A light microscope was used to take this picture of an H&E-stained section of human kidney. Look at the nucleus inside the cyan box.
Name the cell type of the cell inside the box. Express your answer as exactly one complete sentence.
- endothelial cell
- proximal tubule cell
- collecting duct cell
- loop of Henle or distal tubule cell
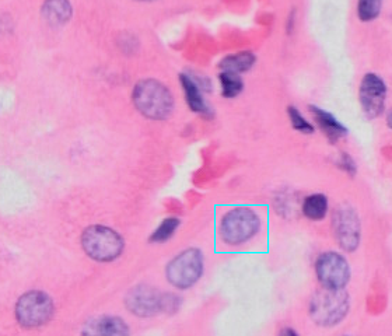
It is as a collecting duct cell that the cell inside the box is recorded.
